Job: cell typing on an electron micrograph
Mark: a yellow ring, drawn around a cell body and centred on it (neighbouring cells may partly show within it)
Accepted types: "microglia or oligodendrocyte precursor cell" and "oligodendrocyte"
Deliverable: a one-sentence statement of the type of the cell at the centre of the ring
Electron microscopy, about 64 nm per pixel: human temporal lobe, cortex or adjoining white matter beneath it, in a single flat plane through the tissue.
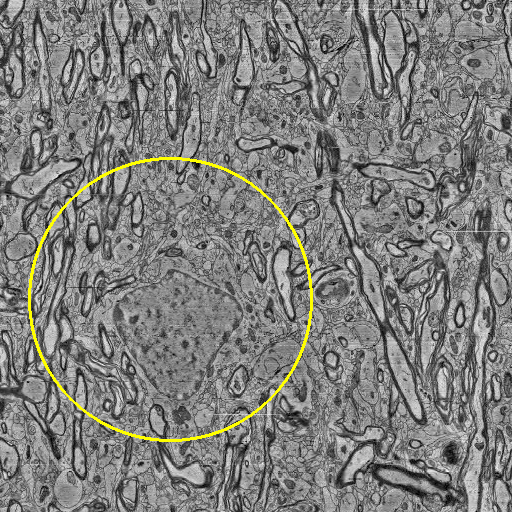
The centred cell body is that of a microglial cell or oligodendrocyte precursor cell.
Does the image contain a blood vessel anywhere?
No, none shows.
